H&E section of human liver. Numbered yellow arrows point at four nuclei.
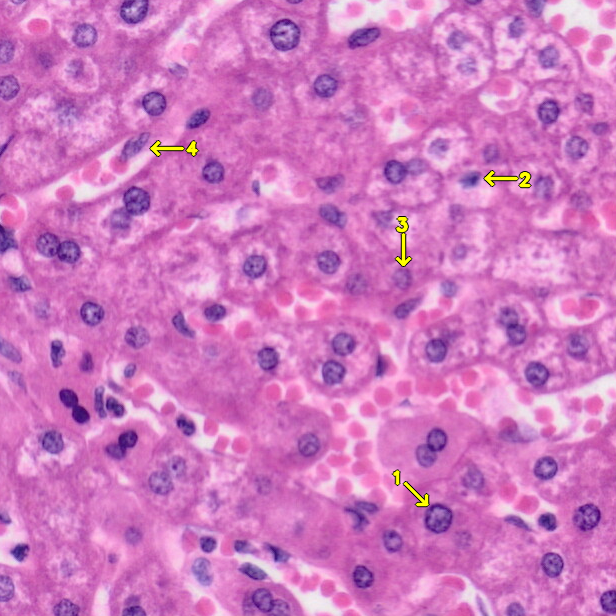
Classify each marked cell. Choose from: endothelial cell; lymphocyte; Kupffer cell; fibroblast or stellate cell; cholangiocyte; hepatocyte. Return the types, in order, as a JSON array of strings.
["hepatocyte", "endothelial cell", "hepatocyte", "Kupffer cell"]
